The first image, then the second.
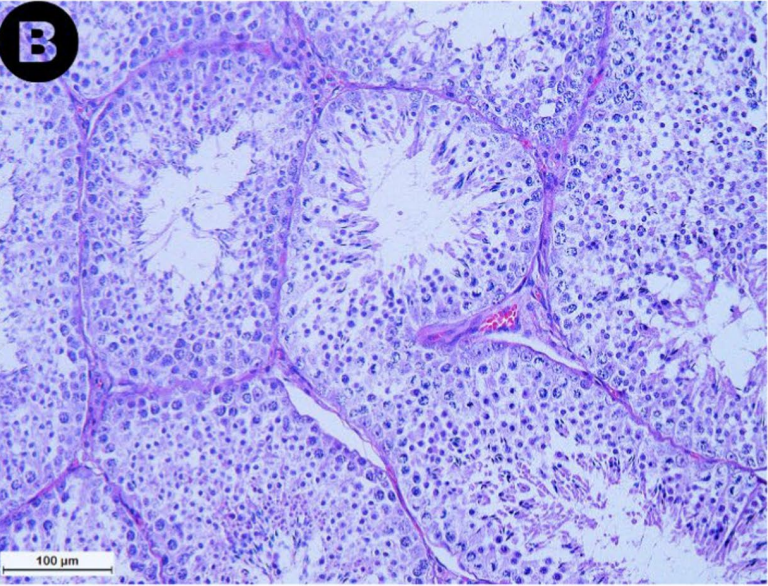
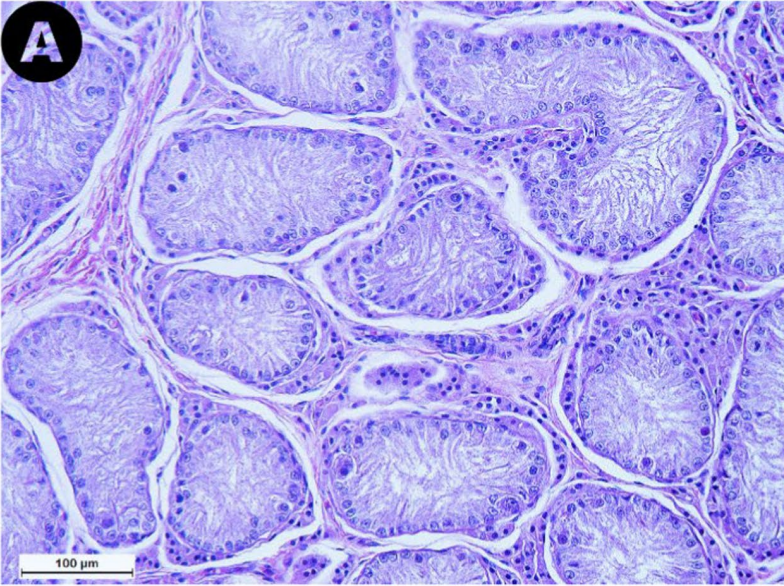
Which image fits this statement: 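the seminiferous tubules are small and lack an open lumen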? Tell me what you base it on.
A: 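First image: large tubules with thick multilayered epithelium around open central lumens. Second image: small tubules with a single peripheral cell row and centres filled with pale fibrillar material.
Conclusion: the second image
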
